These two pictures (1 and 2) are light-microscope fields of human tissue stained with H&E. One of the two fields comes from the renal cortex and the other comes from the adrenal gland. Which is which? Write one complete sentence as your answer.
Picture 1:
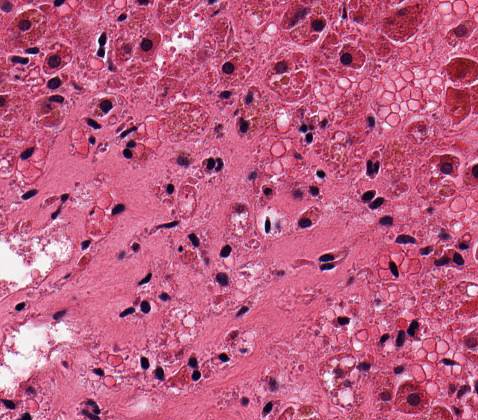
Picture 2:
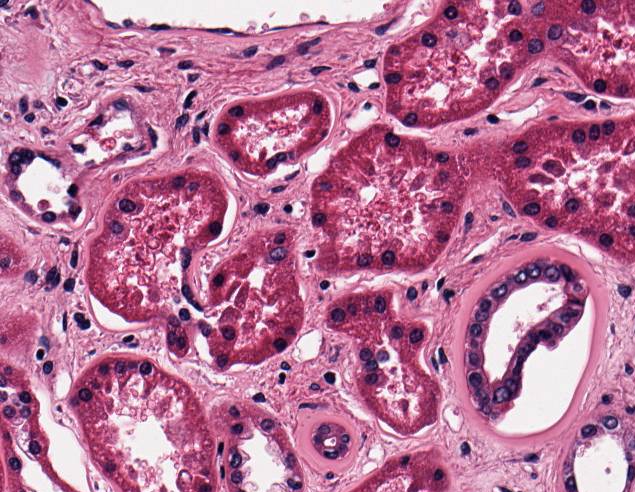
Picture 2 comes from the renal cortex, while picture 1 comes from the adrenal gland.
